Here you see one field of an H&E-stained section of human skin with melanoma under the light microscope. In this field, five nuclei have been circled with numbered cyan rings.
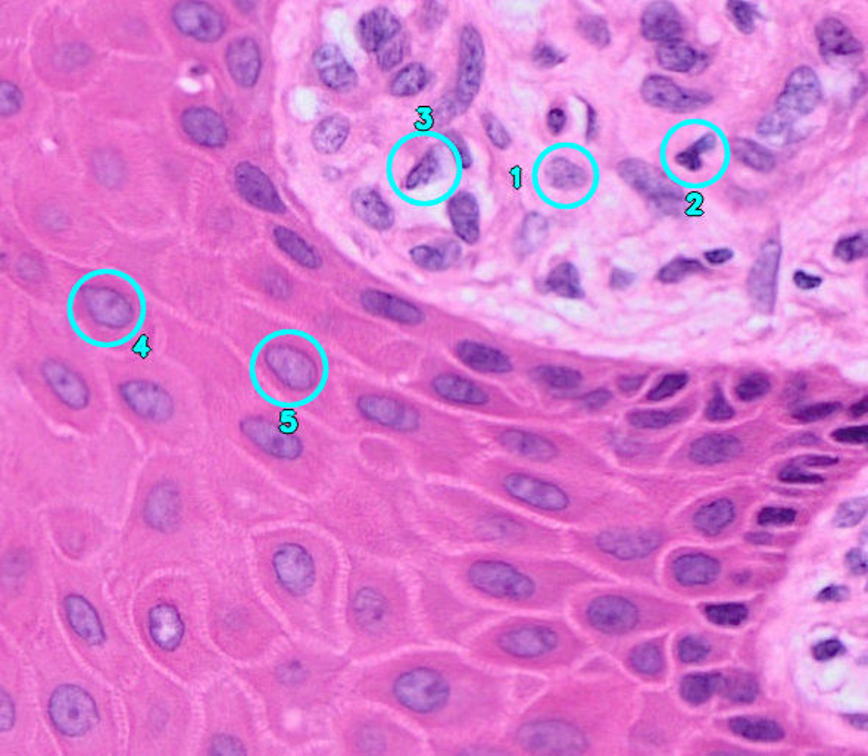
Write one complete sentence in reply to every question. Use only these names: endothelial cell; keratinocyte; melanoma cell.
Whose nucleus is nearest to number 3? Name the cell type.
Closest to number 3 lies the nucleus of an endothelial cell.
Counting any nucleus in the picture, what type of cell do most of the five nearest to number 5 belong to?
Of the five nuclei nearest to number 5, most belong to keratinocytes.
